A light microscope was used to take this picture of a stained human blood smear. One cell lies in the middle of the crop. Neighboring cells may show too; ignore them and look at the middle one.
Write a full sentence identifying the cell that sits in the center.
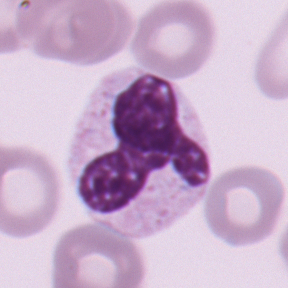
The centrally located cell in the crop is a segmented neutrophil.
